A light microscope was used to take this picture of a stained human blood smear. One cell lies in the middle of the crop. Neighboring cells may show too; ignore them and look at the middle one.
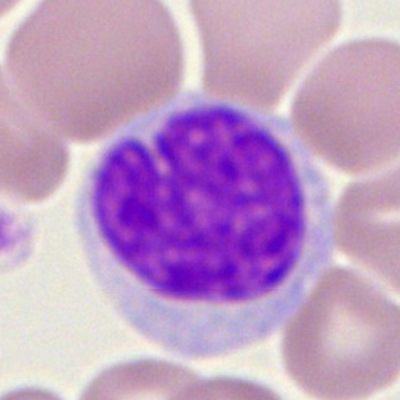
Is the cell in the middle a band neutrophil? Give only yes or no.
no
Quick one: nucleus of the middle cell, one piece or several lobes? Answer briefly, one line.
If you check the nucleus, you will find one compact mass, round, oval or kidney-shaped.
